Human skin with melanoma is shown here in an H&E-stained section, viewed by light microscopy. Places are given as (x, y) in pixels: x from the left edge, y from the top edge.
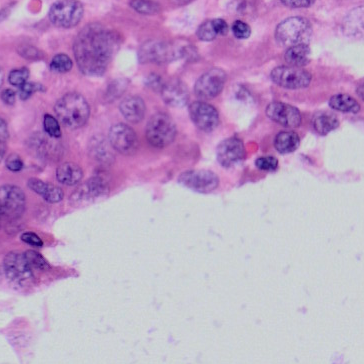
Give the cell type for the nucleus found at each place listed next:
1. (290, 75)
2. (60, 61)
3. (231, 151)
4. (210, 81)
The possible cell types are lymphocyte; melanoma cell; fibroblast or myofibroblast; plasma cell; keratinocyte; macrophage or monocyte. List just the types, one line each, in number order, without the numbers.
melanoma cell
lymphocyte
melanoma cell
melanoma cell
